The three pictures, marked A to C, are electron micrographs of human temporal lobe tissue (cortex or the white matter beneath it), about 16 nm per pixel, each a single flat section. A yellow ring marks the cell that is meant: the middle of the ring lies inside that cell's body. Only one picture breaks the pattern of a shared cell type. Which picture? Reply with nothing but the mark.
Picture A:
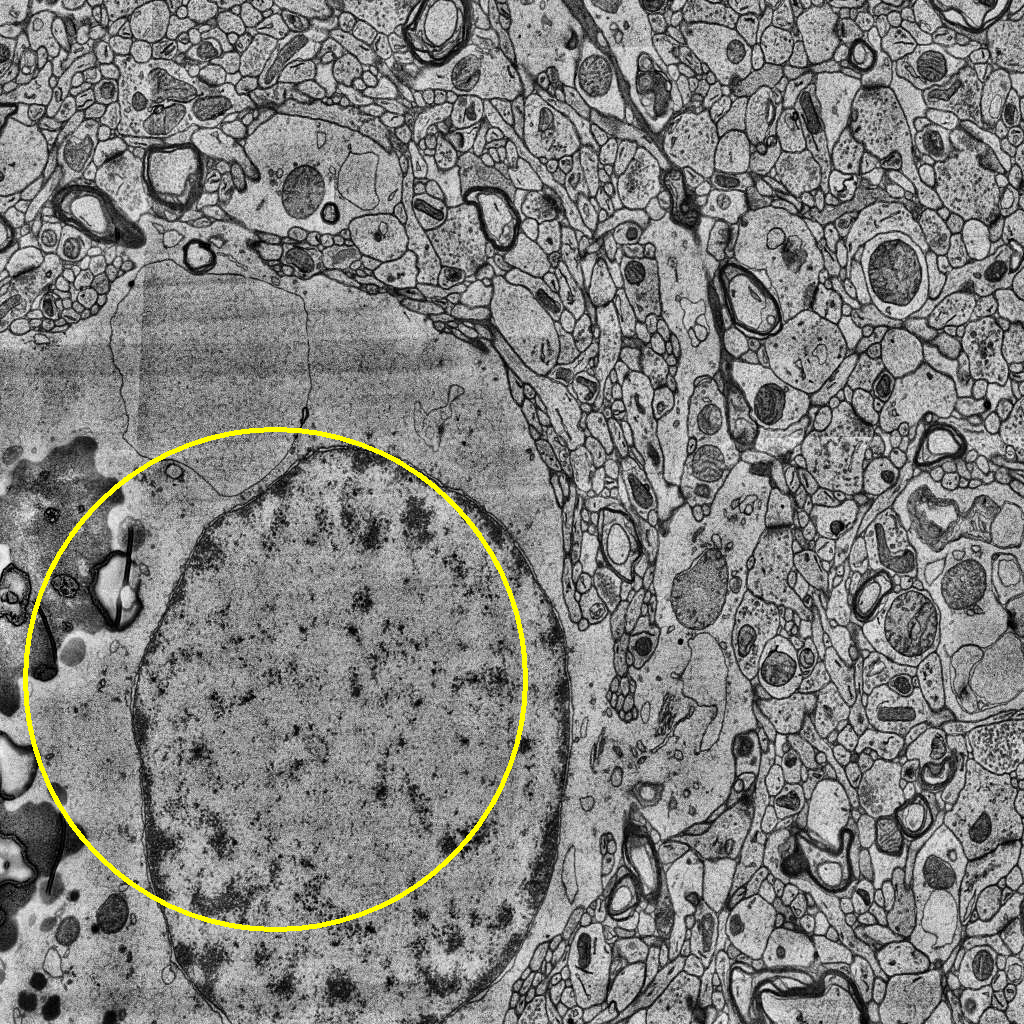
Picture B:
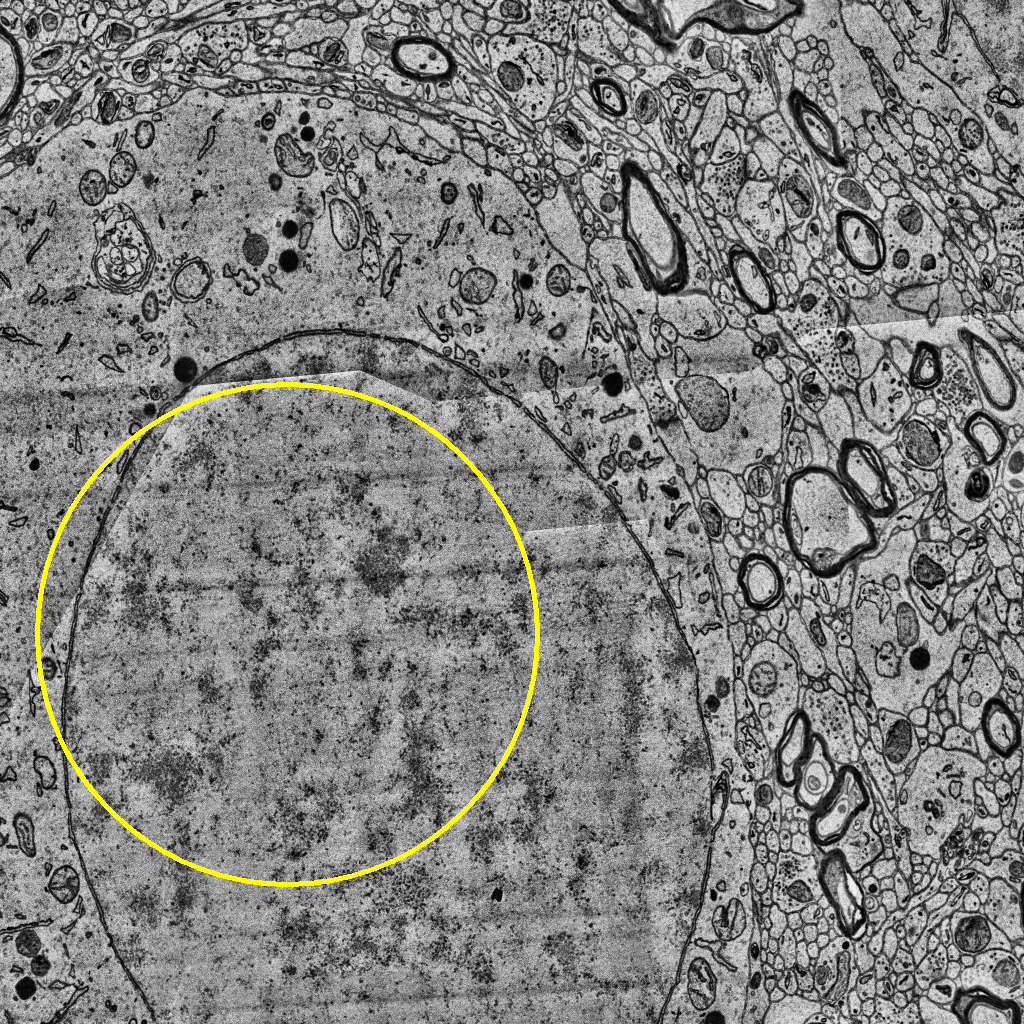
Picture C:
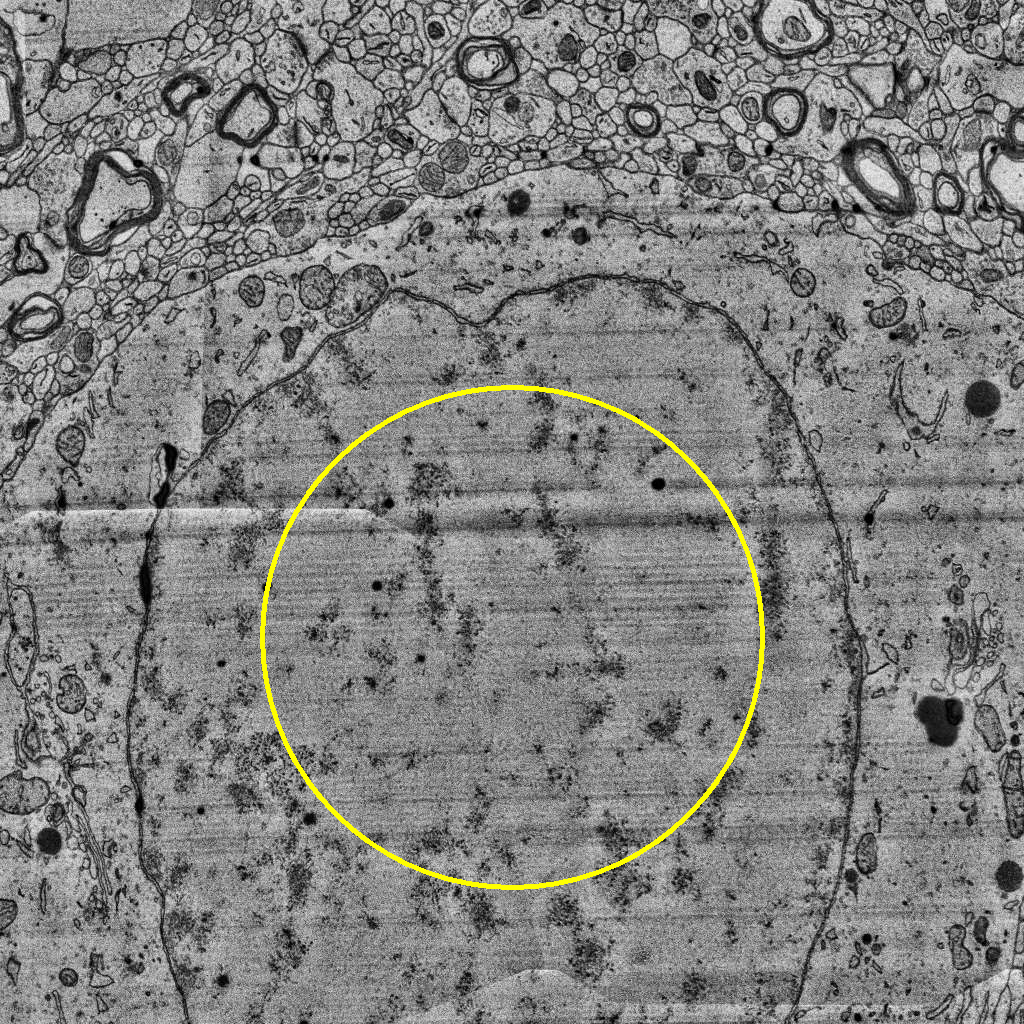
A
